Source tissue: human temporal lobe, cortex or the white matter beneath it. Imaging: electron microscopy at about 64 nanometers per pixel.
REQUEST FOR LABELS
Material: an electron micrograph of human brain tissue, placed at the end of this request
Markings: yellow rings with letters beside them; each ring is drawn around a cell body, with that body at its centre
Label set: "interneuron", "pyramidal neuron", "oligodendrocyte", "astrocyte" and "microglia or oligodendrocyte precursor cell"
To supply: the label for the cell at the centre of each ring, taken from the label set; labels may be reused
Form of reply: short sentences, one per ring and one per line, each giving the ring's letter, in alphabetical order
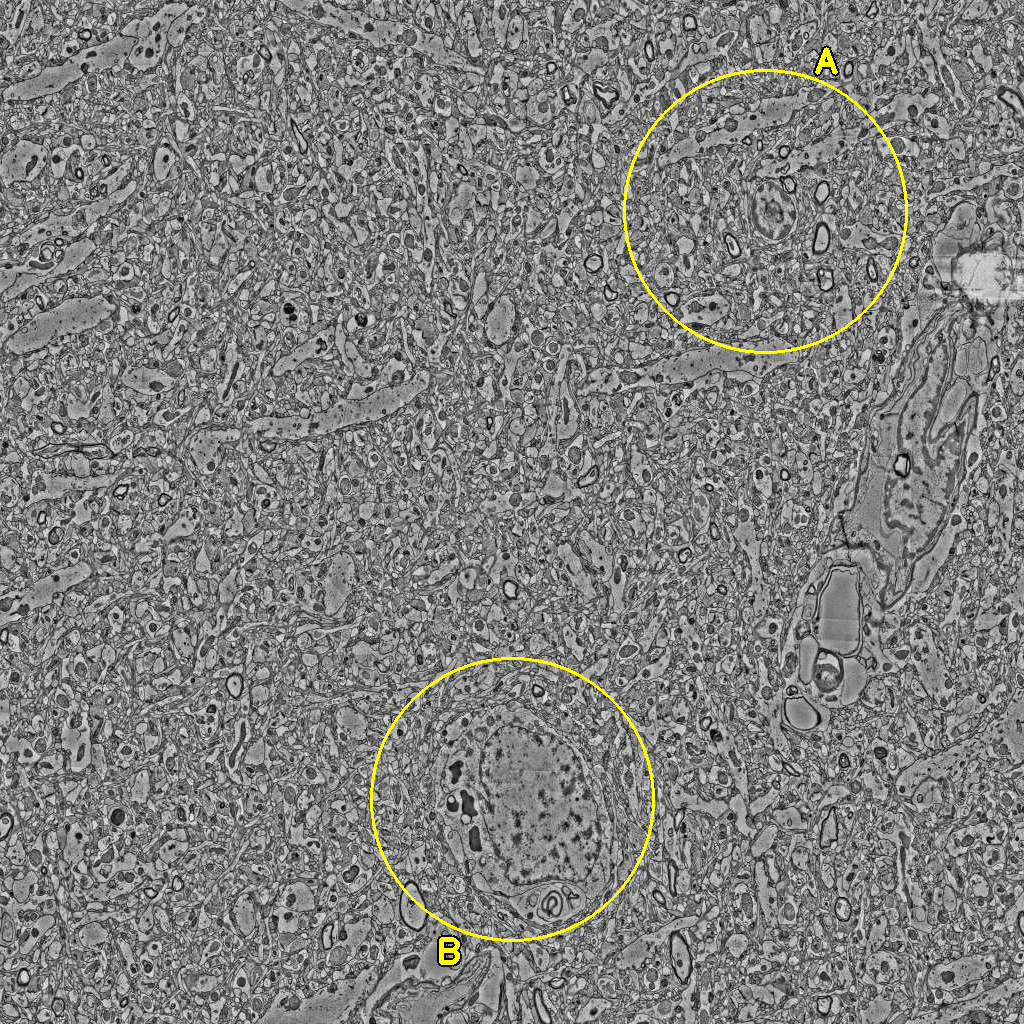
Ring A: the cell in the middle is a microglial cell or oligodendrocyte precursor cell.
Ring B: the cell in the middle is an interneuron.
